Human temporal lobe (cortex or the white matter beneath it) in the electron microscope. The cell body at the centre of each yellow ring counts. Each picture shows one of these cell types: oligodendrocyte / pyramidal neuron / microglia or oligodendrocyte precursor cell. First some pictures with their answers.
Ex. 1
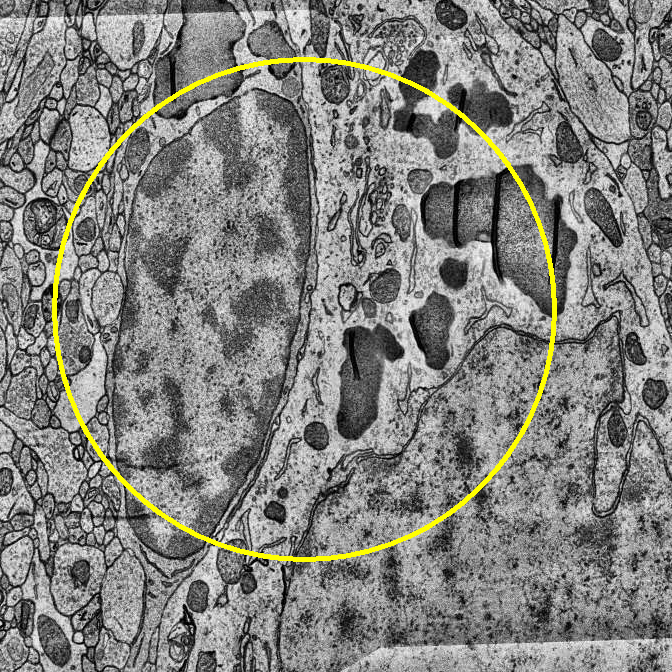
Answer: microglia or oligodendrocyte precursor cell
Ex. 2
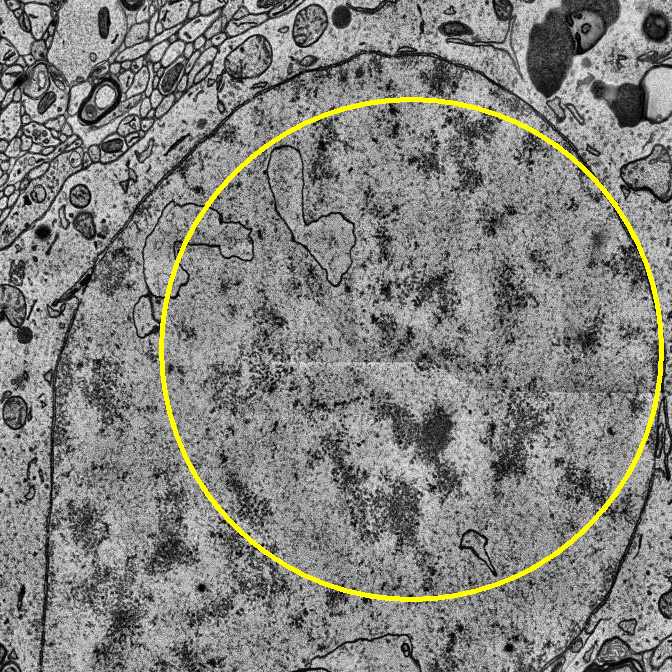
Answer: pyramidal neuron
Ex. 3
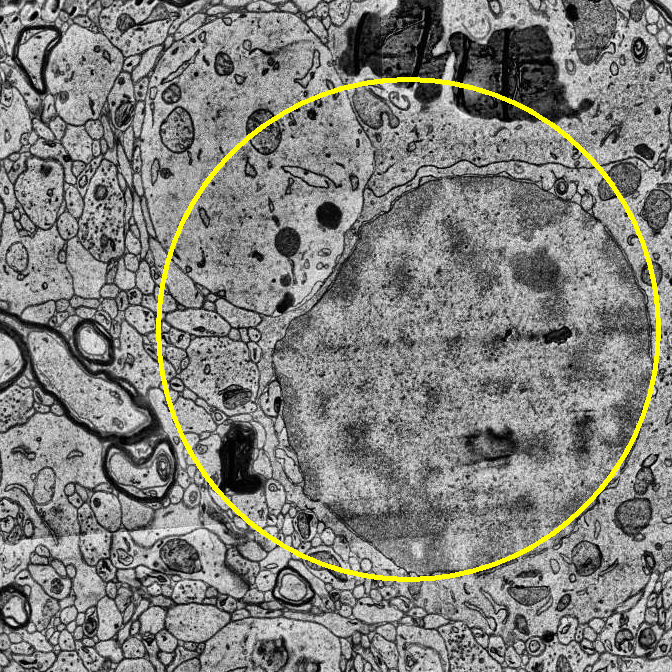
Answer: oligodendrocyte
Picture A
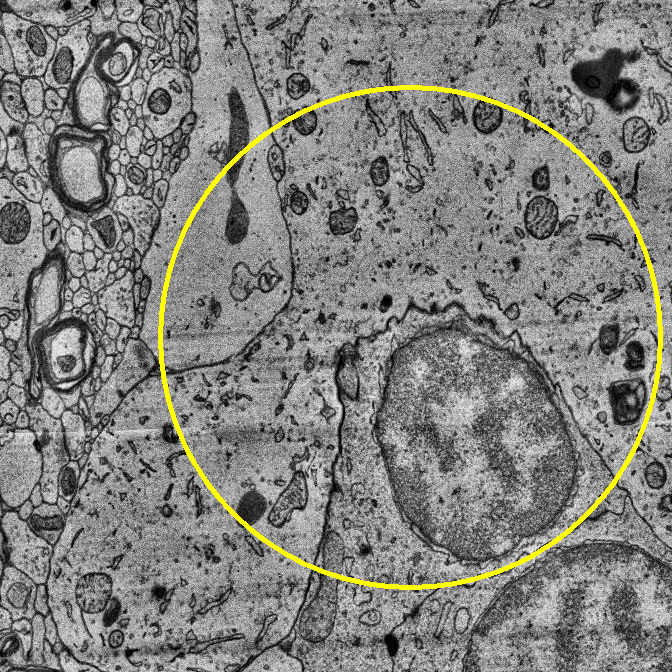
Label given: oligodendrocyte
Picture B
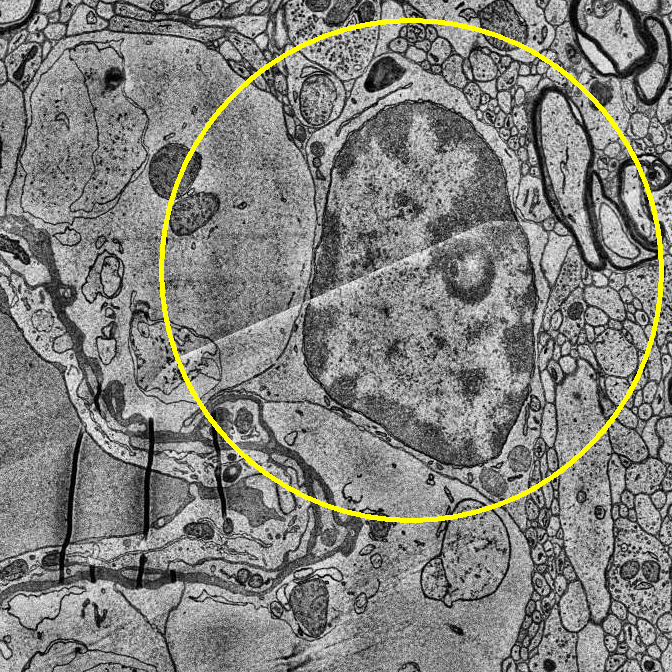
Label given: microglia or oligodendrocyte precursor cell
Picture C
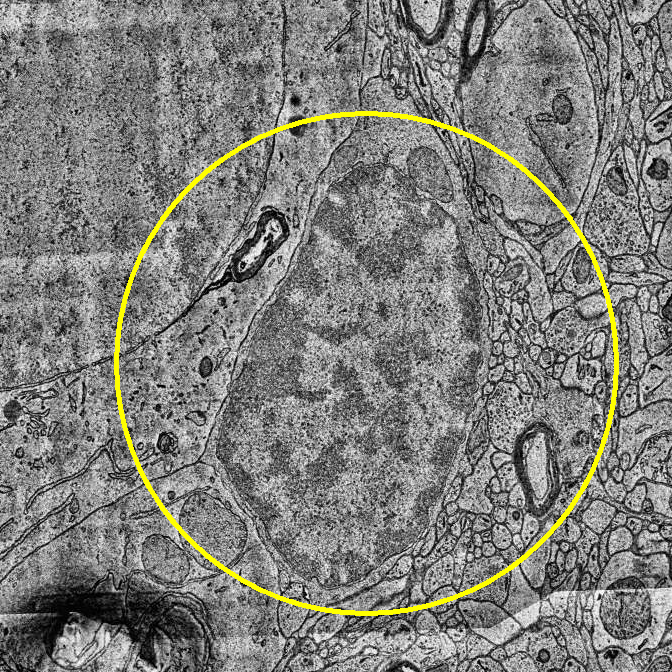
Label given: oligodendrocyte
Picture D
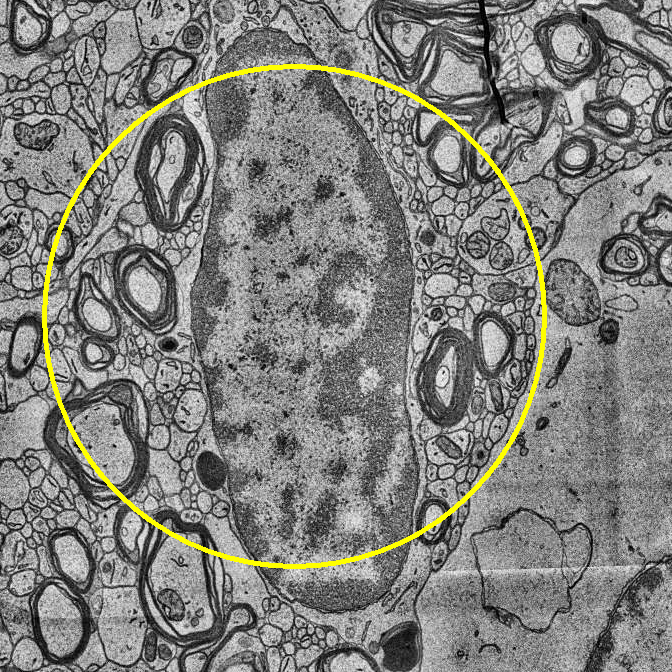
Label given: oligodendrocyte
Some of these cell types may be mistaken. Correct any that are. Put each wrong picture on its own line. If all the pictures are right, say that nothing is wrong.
D: microglia or oligodendrocyte precursor cell, not oligodendrocyte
